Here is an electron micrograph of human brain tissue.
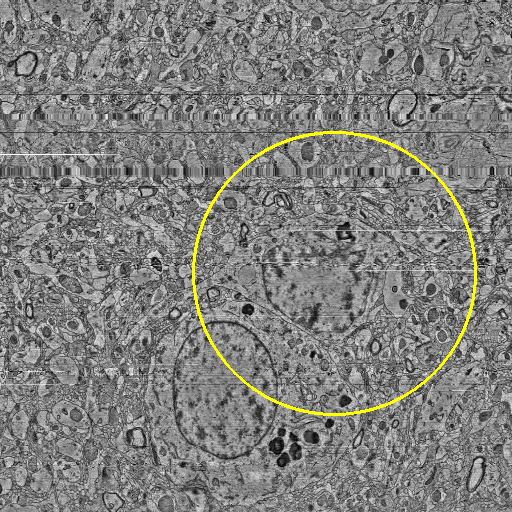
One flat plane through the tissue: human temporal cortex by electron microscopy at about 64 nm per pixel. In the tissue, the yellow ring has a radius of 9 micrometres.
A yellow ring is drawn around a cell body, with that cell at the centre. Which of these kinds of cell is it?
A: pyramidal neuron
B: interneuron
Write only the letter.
B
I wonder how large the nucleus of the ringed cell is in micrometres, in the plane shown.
In this plane, the nucleus of the cell at the centre of the ring measures about 8 by 7 micrometres.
